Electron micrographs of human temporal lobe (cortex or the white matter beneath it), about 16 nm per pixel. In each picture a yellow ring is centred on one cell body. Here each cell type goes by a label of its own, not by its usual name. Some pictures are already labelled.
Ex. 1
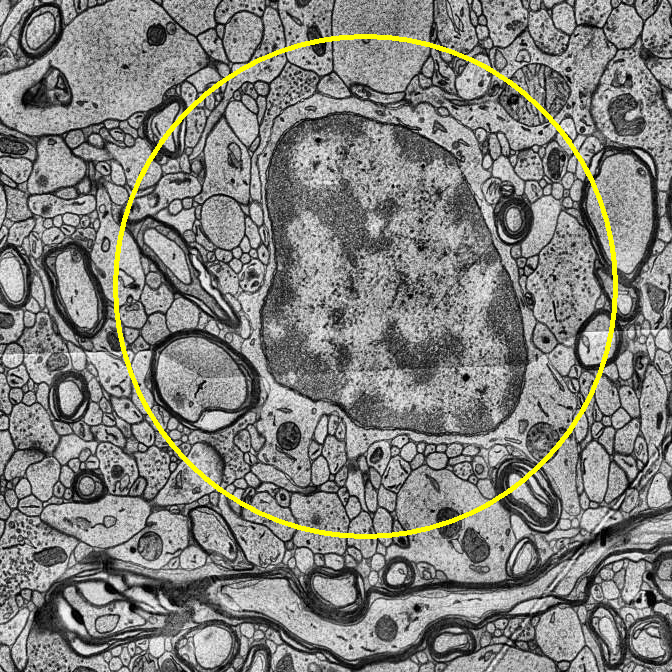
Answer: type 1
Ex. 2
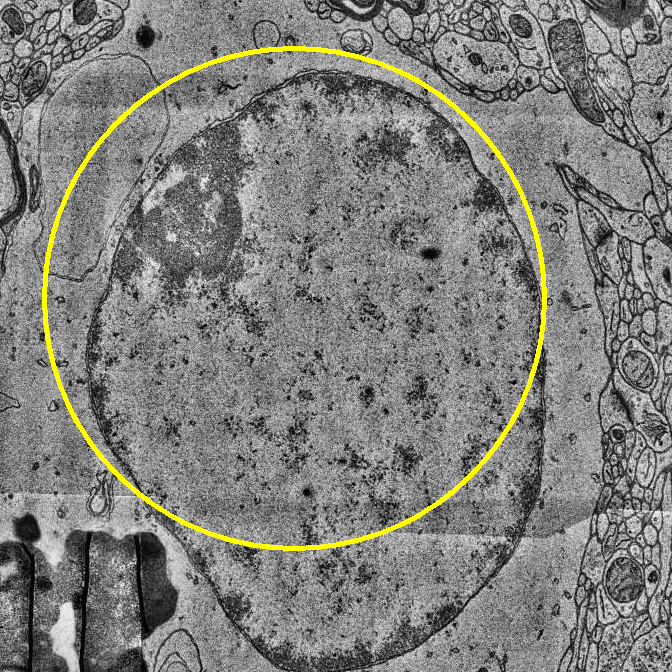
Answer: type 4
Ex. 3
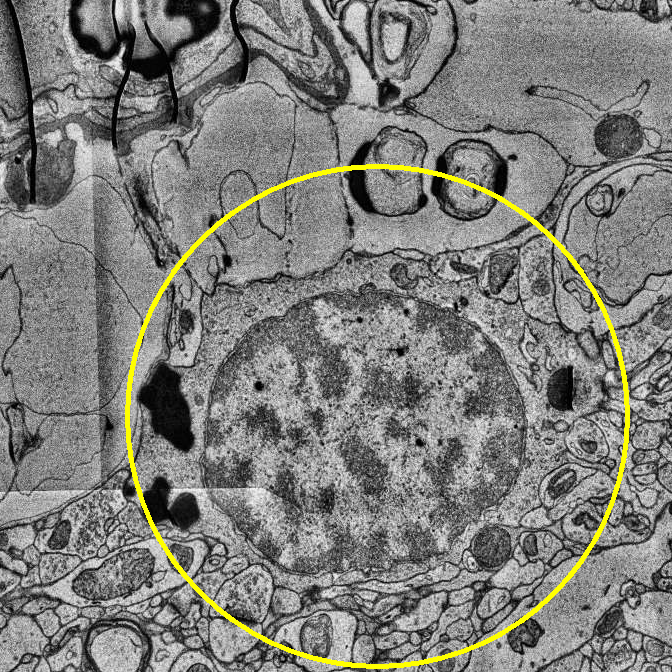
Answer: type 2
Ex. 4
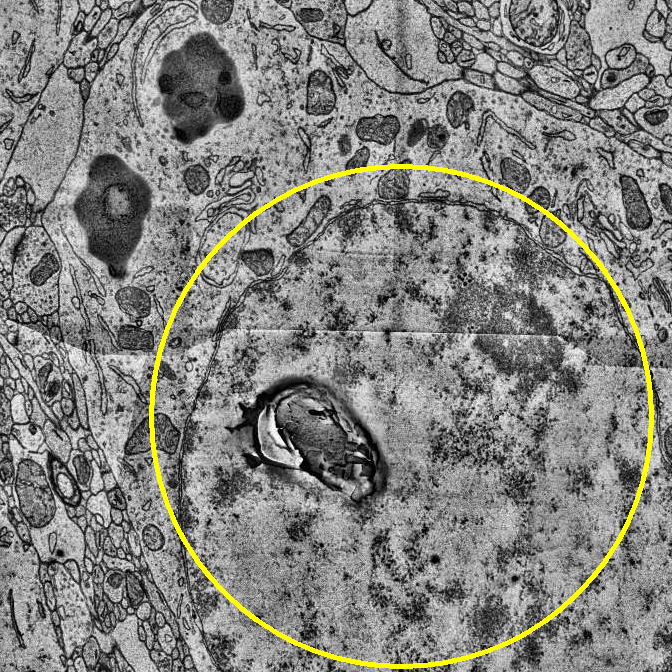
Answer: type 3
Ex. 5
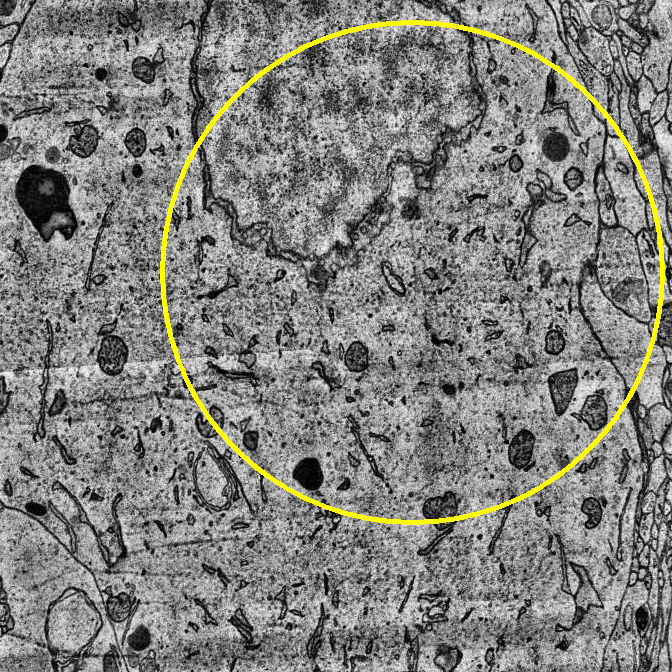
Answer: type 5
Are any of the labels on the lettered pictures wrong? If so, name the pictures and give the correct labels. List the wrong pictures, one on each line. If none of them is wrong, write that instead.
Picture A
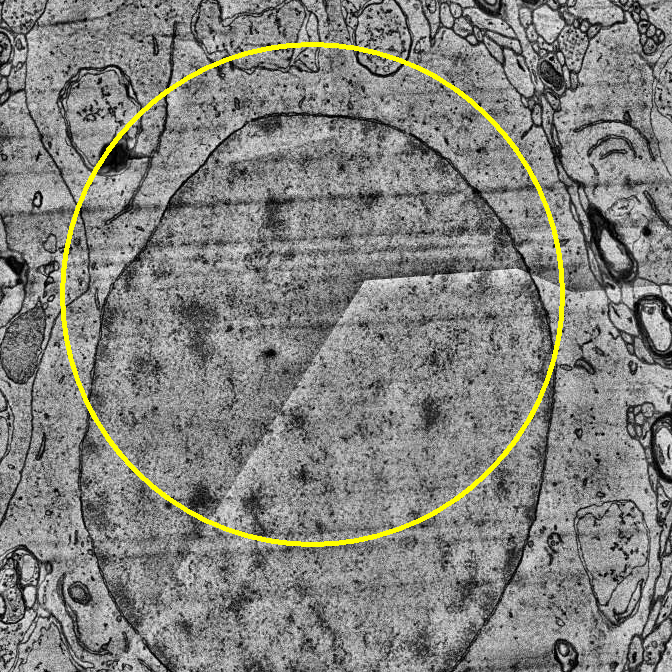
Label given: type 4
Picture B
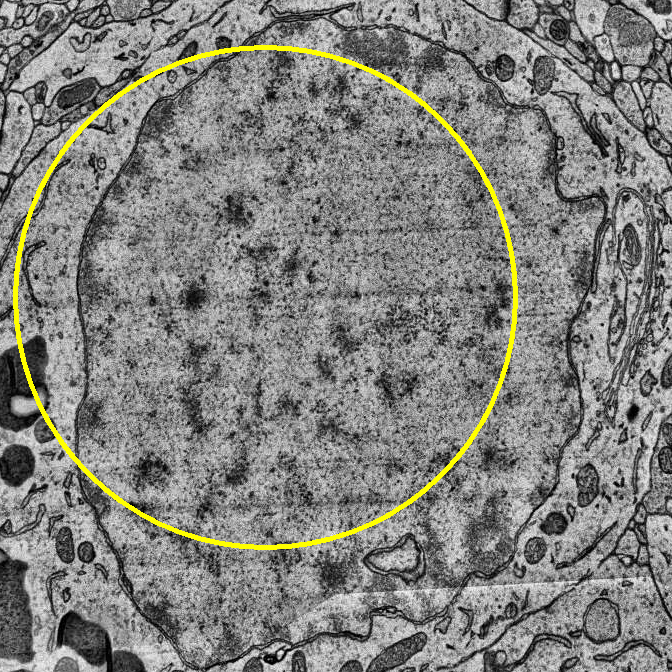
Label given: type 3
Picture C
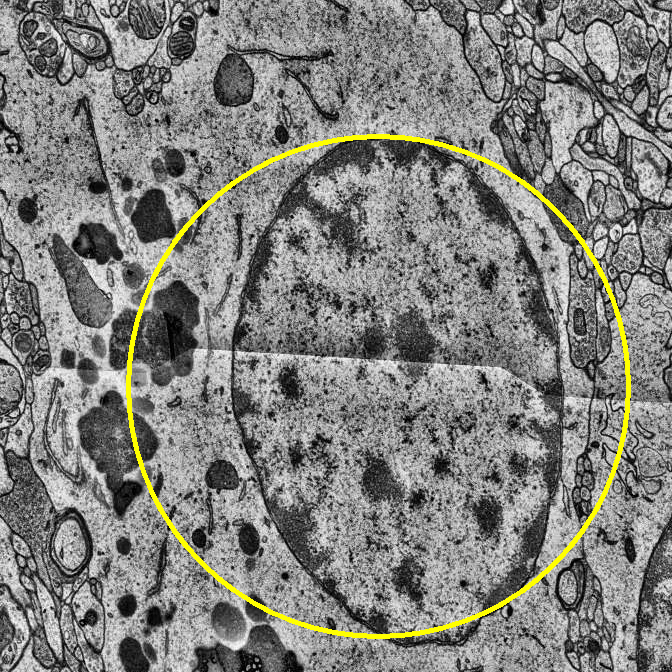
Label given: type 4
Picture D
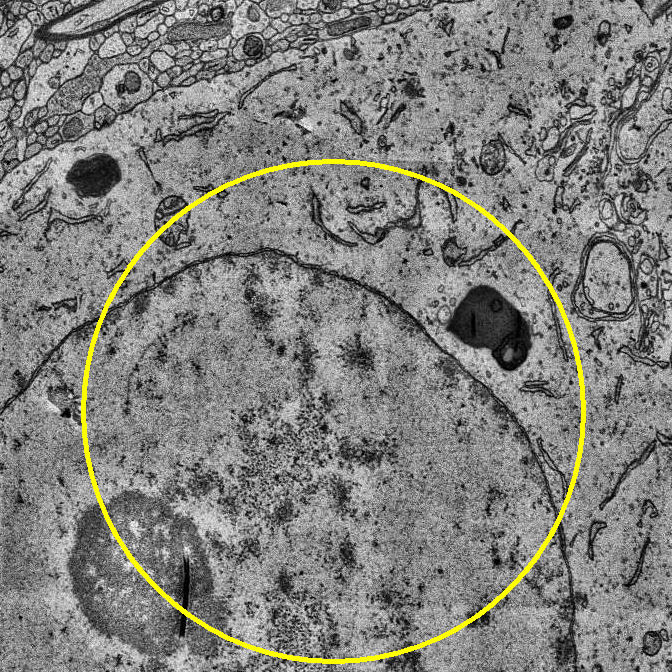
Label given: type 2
D should be type 5, not type 2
